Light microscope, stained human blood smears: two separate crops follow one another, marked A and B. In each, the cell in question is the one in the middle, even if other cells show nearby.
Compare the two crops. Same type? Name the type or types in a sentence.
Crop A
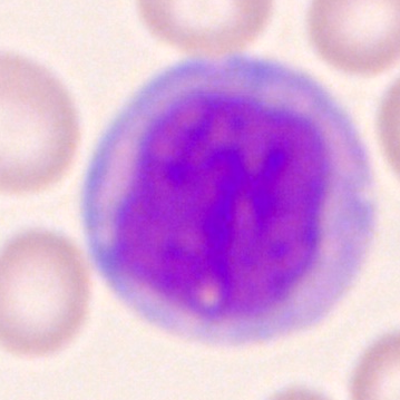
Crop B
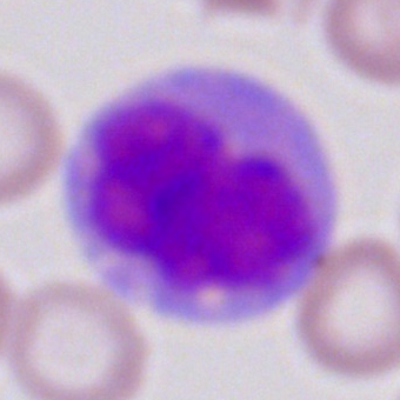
Yes, both crops in the pair show monocytes.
